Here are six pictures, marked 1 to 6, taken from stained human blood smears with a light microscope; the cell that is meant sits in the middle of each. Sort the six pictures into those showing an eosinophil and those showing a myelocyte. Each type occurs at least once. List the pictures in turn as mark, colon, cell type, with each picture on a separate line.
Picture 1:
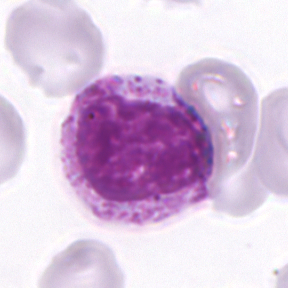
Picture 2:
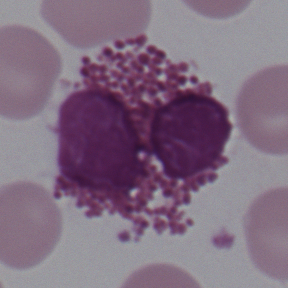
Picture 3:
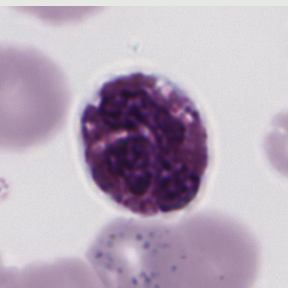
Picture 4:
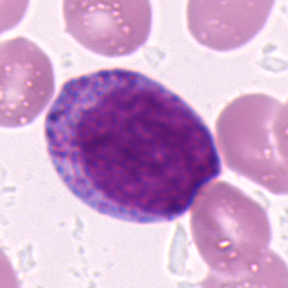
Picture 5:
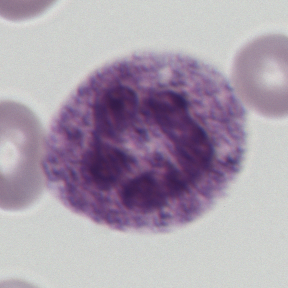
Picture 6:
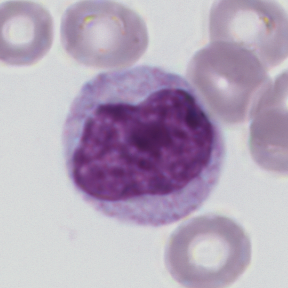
1: myelocyte
2: eosinophil
3: eosinophil
4: myelocyte
5: eosinophil
6: myelocyte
